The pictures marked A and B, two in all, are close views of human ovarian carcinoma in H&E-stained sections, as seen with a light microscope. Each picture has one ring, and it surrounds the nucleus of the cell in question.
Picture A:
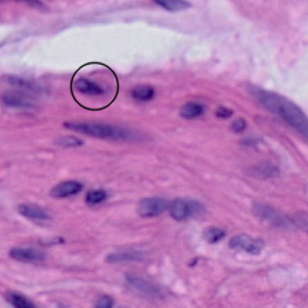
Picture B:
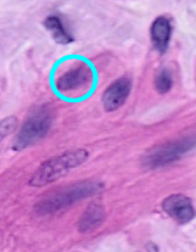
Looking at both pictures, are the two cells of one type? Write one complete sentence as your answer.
Yes, both cells are smooth muscle cells.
